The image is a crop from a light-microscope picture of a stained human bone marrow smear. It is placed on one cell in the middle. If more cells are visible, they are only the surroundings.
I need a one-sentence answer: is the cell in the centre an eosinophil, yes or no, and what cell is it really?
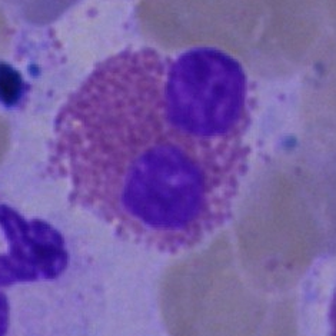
Yes, the cell shown in the middle is an eosinophil.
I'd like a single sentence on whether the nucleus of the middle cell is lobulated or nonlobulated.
The nucleus here is split into two or more lobes, not one.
